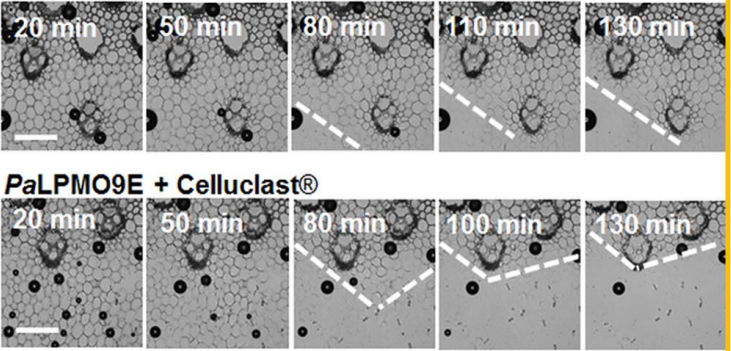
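This time series of a plant stem section shows parenchyma made of rounded-polygonal, thin-walled cells surrounding darker, thick-walled clusters of cells. In the early frames the honeycomb of cell walls is intact across the field. In later frames the walls in part of the field vanish, leaving a smooth, featureless grey area, and dashed lines mark the edge between remaining and degraded tissue. The thick-walled clusters persist while the surrounding parenchyma disappears.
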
